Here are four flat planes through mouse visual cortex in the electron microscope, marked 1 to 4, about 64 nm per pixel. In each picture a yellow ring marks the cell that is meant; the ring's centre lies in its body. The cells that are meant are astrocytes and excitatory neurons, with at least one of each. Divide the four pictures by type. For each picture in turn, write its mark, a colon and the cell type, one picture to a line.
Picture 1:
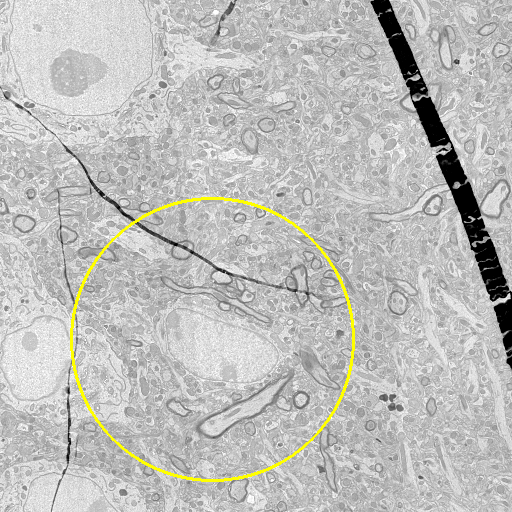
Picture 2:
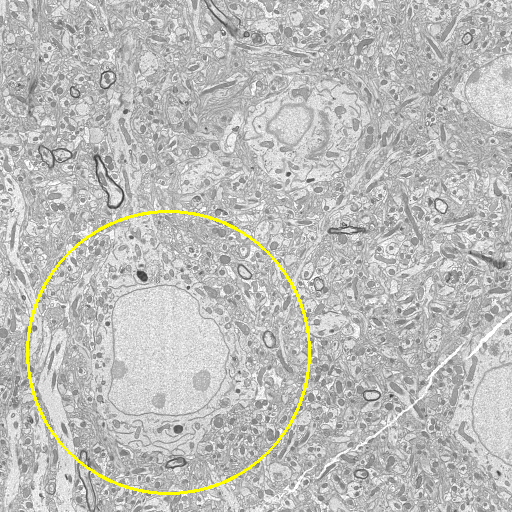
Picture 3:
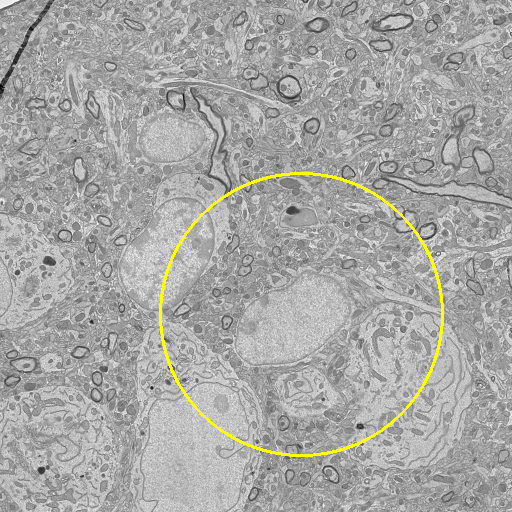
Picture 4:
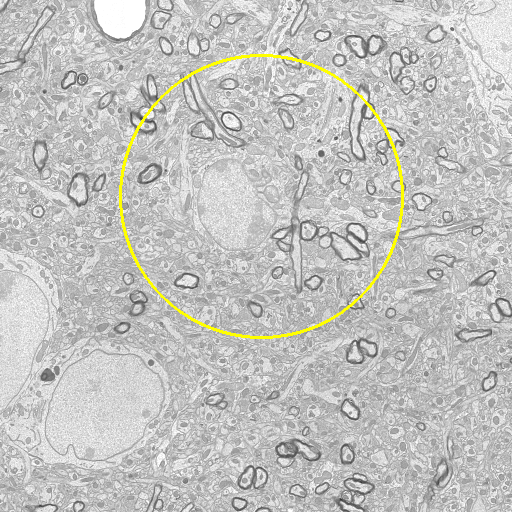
1: astrocyte
2: excitatory neuron
3: astrocyte
4: astrocyte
